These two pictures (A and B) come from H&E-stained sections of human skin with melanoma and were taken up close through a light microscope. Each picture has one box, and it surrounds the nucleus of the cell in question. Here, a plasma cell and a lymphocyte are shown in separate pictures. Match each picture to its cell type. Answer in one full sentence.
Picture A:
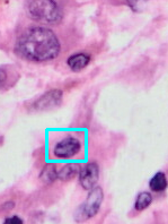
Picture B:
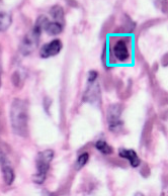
Picture A is of a lymphocyte, and picture B is of a plasma cell.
